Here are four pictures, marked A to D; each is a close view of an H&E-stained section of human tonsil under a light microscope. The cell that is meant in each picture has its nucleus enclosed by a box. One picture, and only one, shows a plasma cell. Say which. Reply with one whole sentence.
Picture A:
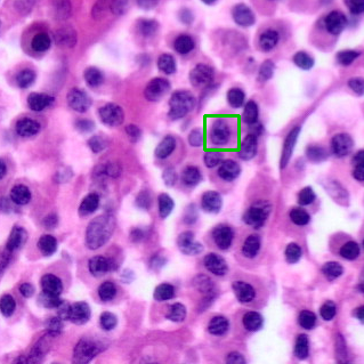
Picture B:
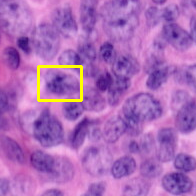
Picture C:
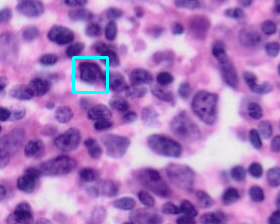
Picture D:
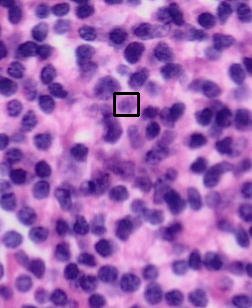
Picture A is the one that shows the plasma cell.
